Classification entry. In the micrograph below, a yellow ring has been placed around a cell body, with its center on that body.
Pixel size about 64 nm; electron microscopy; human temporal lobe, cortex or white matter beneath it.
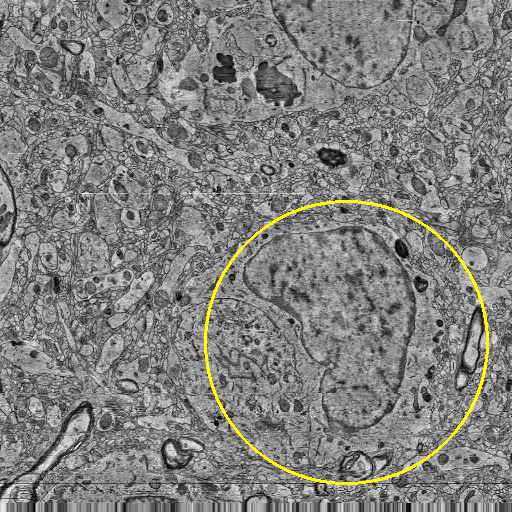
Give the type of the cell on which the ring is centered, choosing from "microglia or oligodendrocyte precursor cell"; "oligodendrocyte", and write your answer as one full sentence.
The cell body at the center of the yellow ring belongs to a microglial cell or oligodendrocyte precursor cell.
